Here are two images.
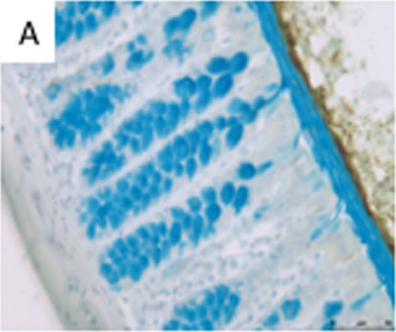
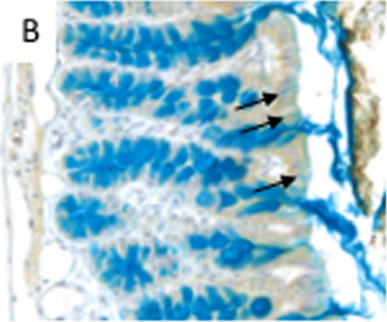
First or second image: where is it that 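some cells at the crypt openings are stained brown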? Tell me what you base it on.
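The second image. Second image: brown-stained cells sit at the tops of the crypts near the surface. First image: the crypts show blue goblet cells with hardly any brown in the epithelium.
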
